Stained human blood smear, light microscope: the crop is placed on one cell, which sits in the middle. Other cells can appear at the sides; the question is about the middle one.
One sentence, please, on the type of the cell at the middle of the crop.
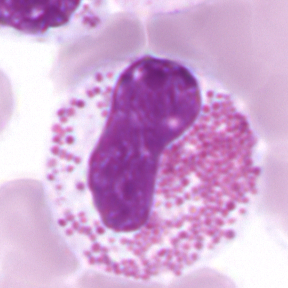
The center cell of this crop is an eosinophil.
